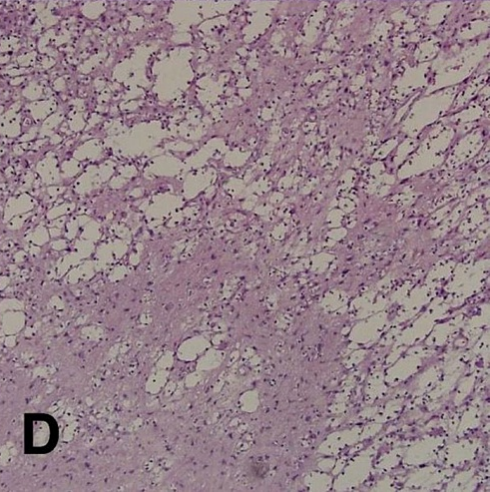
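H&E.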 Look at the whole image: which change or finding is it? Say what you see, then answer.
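Many small, clear, empty spaces of varying size. The spaces are separated by thin pink strands holding scattered nuclei. That points to this answer: microcystic changes.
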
